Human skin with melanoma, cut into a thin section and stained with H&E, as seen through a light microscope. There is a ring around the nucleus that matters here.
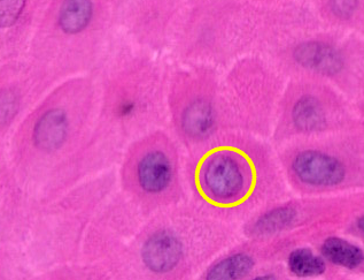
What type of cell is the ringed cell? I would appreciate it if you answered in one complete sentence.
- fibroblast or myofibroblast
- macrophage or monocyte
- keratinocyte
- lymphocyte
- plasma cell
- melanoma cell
In the tissue at hand, the ringed cell is a keratinocyte.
